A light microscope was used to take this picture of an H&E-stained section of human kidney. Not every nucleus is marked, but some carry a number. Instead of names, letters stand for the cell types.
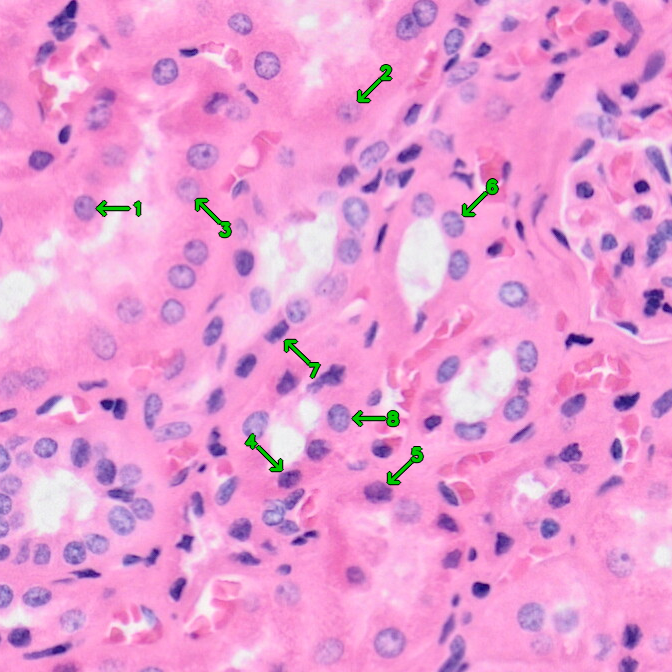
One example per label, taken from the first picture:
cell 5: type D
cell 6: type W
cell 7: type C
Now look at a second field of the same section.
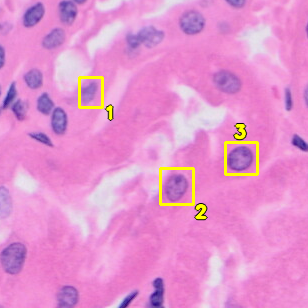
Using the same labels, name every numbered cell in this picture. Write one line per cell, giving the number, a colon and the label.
1: type C
2: type D
3: type D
